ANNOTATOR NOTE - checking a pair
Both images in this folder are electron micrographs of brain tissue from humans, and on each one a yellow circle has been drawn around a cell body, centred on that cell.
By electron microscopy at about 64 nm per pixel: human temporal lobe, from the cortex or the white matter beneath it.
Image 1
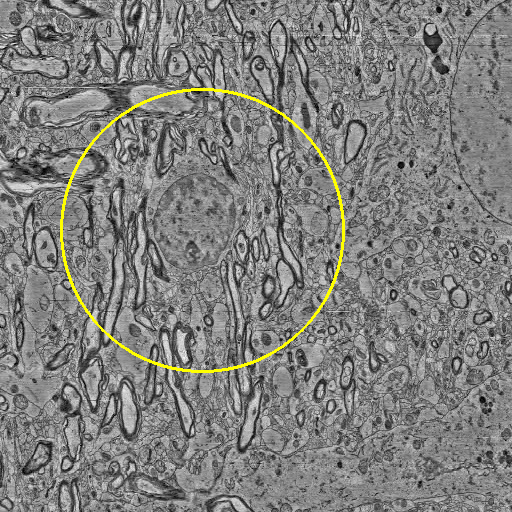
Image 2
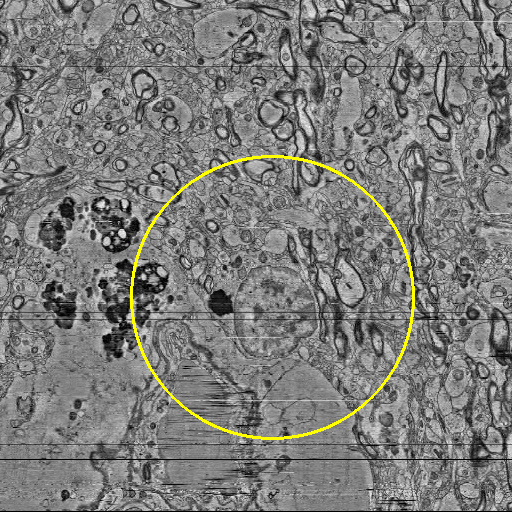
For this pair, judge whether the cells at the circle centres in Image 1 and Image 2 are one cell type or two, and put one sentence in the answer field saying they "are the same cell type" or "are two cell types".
For this pair, the cells at the circle centres in Images 1 and 2 are the same cell type.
